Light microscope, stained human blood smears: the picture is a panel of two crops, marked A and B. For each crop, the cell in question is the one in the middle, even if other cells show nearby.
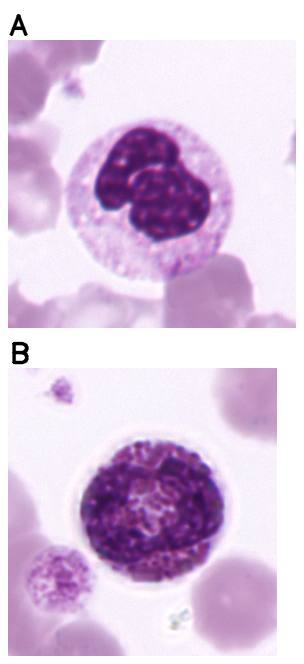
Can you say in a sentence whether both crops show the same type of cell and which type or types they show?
No: a segmented neutrophil sits in crop A, and an eosinophil sits in crop B.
